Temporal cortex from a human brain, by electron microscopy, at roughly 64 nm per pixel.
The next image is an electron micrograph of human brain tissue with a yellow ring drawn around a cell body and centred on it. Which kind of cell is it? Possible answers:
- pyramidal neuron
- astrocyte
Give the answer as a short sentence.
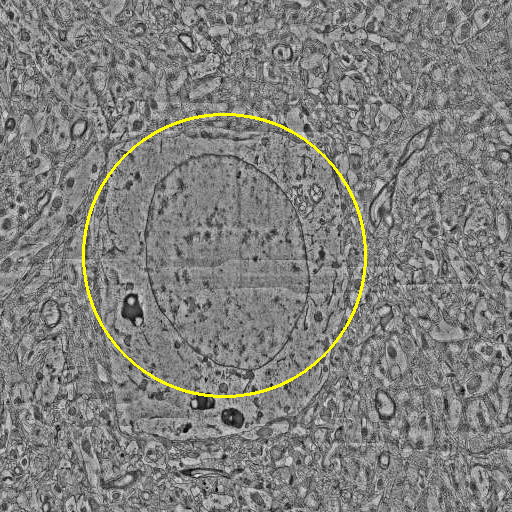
In the ring's centre is a pyramidal neuron.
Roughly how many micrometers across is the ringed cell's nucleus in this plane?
Approximately 14 x 10 micrometres in this plane.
